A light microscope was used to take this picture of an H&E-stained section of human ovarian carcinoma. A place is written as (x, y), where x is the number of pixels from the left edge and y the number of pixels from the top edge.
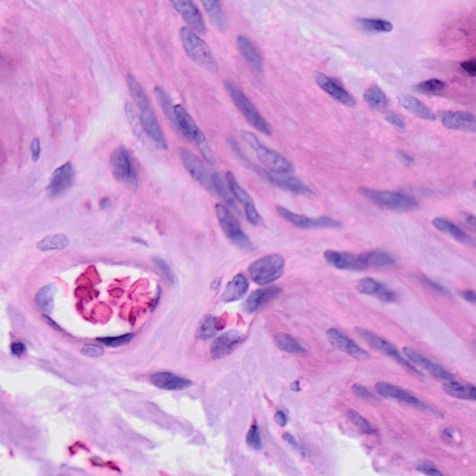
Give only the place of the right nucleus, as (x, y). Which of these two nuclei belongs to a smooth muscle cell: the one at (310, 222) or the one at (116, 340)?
(310, 222)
